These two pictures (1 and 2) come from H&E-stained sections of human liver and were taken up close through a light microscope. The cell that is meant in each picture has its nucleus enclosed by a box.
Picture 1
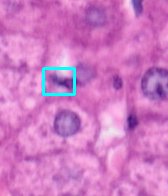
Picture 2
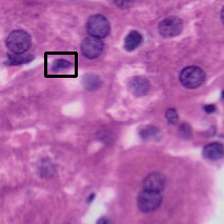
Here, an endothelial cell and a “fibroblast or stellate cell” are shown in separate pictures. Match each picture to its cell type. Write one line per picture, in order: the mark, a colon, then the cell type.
1: endothelial cell
2: fibroblast or stellate cell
